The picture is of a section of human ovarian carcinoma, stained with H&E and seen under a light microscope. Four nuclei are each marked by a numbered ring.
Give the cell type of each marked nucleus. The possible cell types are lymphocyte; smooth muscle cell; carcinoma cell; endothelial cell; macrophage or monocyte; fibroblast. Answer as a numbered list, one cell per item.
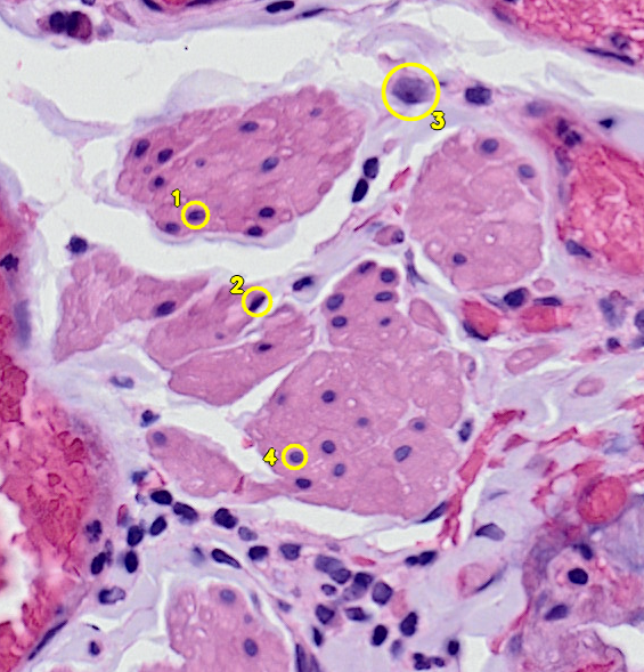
1. smooth muscle cell
2. smooth muscle cell
3. fibroblast
4. smooth muscle cell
